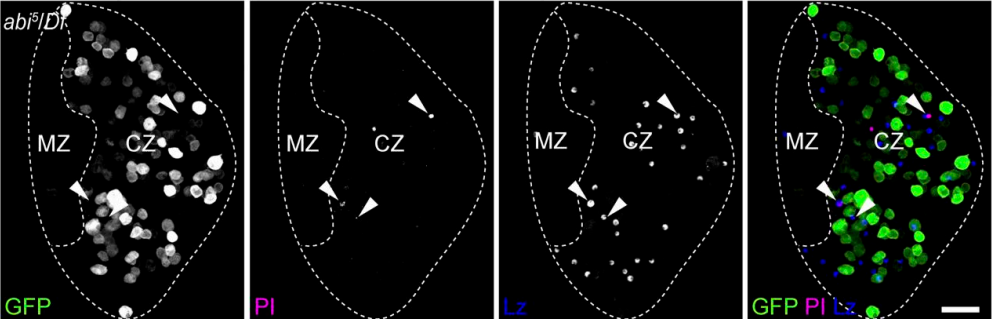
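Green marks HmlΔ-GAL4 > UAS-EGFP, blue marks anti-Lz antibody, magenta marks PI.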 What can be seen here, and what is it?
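A larval blood-forming lobe is outlined by a dashed line, with an inner dashed line setting off a narrow medial zone from a broader outer zone. Many rounded green cells of varied size crowd the outer zone, while the medial zone is largely free of them. A few of these small cells, pointed out by arrowheads, also show a magenta dot in the same place.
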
